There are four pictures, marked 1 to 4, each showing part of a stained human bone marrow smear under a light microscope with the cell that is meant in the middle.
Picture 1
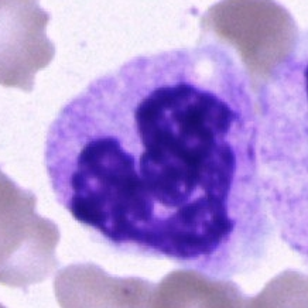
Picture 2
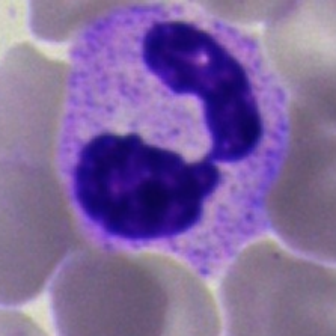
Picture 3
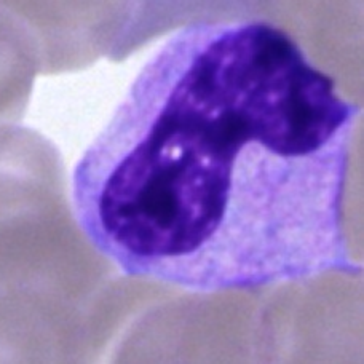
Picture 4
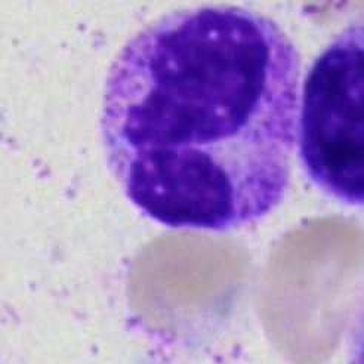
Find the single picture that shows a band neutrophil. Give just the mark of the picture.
3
